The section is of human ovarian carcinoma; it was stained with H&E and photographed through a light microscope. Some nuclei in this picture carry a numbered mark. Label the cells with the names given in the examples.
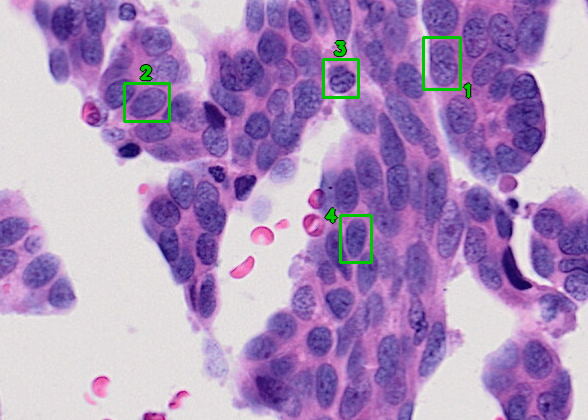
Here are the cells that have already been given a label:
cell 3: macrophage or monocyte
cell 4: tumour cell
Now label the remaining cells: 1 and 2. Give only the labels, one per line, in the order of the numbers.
tumour cell
tumour cell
